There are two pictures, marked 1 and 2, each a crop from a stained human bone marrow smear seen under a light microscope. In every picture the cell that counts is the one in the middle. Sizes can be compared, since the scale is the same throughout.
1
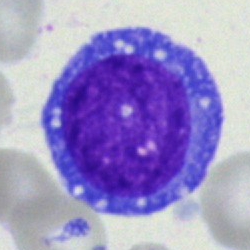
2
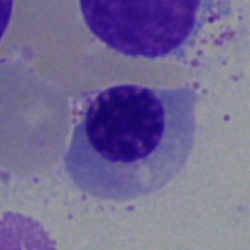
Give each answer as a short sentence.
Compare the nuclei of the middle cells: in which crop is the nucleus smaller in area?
Crop 2 shows the smaller nucleus, since that in crop 1 covers about 3 times as much area.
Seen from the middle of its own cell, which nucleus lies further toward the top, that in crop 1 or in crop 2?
Seen within its cell, the nucleus in crop 2 lies further toward the top.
